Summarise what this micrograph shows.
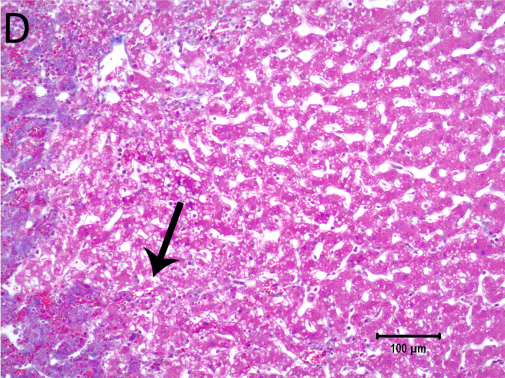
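This is liver at the edge of a lesion, with damaged tissue on the left and hepatocyte plates on the right. On the left the tissue is darker, granular and purplish with scattered red blood and little orderly structure. On the right pink hepatocytes still form plates separated by open white sinusoids, though many cells look pale and irregular. The change between the two zones runs roughly from upper left to lower middle of the field.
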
